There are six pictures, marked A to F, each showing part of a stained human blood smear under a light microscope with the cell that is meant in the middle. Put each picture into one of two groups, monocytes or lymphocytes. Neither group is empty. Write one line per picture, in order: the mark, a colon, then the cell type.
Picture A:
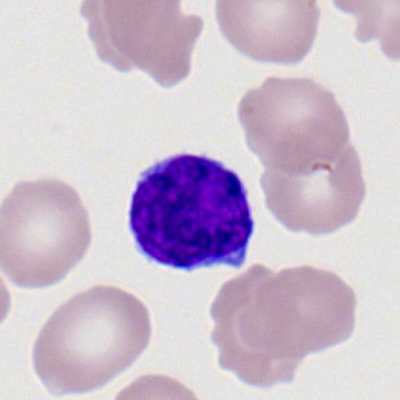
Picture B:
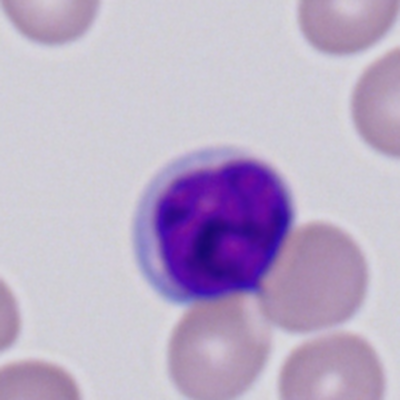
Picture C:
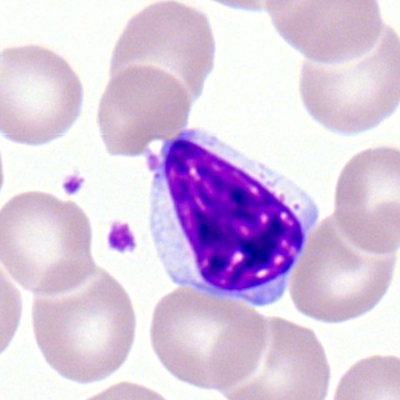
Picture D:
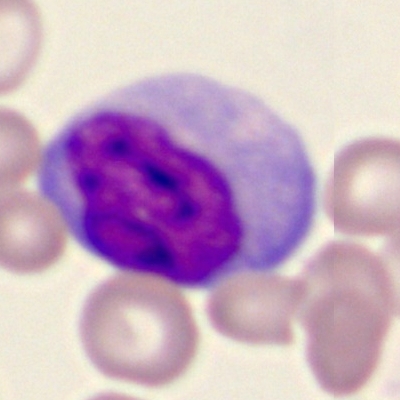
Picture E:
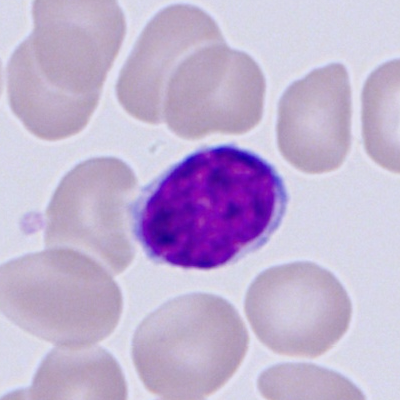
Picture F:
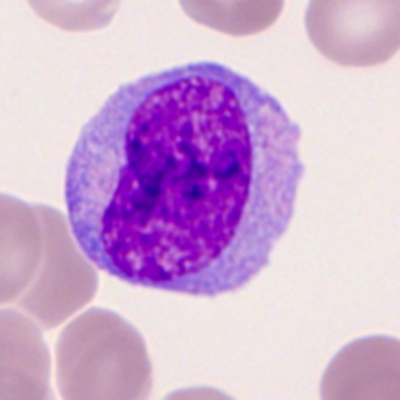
A: lymphocyte
B: lymphocyte
C: lymphocyte
D: monocyte
E: lymphocyte
F: monocyte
